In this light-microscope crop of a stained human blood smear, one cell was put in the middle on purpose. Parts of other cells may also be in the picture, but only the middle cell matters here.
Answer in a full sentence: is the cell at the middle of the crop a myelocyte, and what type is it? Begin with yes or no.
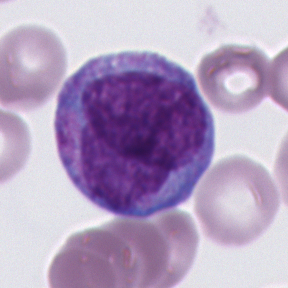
No, the cell in the centre is an atypical promyelocyte instead of a myelocyte.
